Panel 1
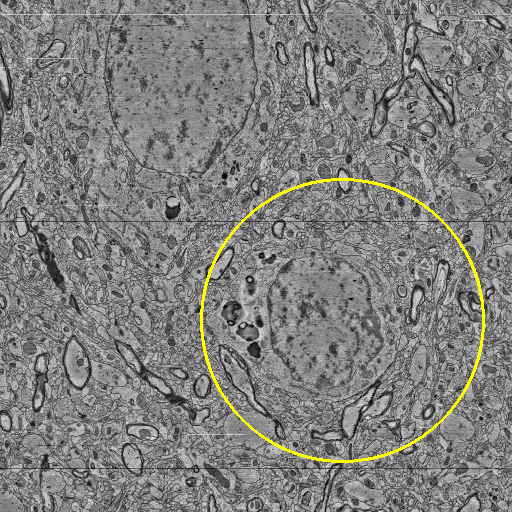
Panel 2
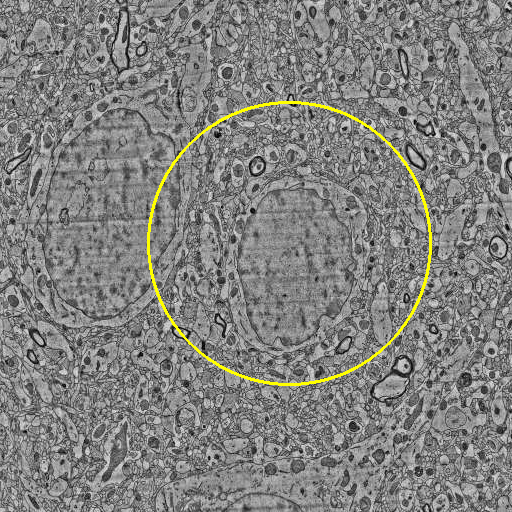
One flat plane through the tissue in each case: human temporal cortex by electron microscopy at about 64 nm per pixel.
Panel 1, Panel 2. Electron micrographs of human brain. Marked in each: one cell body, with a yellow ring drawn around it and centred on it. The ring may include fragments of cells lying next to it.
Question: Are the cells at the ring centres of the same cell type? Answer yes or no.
yes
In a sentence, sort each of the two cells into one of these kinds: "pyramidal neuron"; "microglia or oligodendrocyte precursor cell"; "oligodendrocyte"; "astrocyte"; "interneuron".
The cell in the first picture is an interneuron, and so is the one in the second.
